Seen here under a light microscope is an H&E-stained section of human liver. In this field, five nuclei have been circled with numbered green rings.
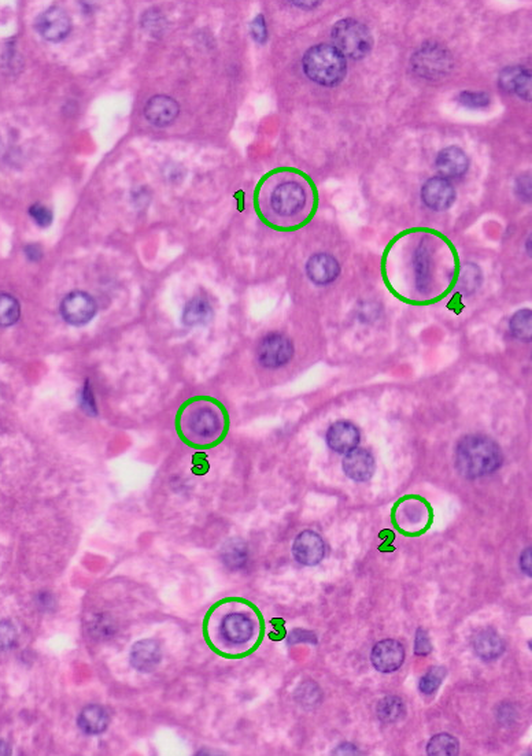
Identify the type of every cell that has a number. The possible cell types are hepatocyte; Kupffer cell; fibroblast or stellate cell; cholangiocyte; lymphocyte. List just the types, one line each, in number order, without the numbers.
hepatocyte
Kupffer cell
hepatocyte
Kupffer cell
hepatocyte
